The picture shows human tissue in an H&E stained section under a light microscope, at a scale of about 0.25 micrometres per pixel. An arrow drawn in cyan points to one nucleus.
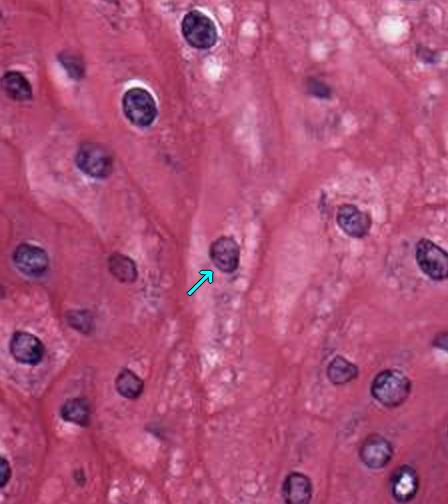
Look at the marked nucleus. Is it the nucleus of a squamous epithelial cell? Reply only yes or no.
yes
